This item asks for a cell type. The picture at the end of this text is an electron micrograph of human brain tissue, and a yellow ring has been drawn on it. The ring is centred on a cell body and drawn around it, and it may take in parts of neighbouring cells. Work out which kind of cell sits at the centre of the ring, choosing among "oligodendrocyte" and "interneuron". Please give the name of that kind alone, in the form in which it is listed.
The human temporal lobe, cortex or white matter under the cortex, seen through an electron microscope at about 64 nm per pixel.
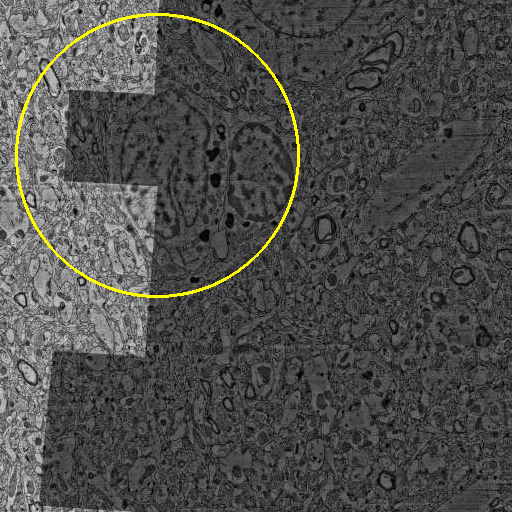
interneuron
